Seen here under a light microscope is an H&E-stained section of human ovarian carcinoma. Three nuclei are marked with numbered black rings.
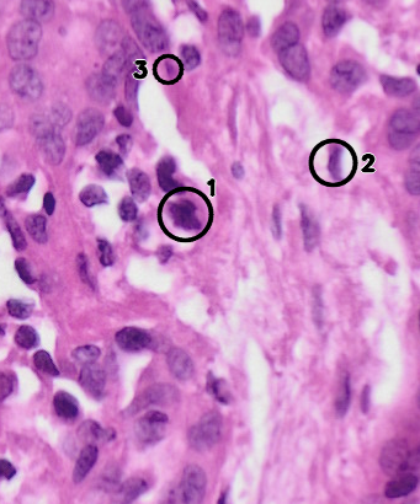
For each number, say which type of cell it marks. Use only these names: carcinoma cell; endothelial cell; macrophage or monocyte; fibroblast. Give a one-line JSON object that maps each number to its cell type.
{"1": "carcinoma cell", "2": "fibroblast", "3": "carcinoma cell"}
